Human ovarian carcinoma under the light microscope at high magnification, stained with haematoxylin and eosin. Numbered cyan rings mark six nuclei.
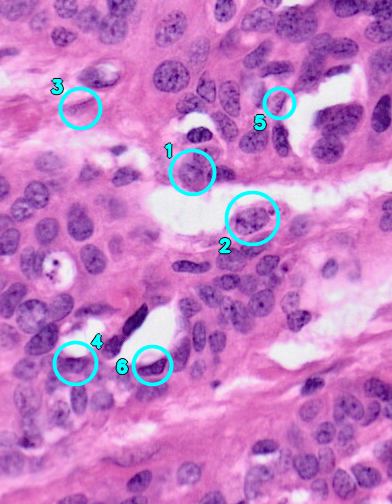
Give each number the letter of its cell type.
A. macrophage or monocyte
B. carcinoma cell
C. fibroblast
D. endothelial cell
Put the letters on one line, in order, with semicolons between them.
B; A; C; B; A; B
